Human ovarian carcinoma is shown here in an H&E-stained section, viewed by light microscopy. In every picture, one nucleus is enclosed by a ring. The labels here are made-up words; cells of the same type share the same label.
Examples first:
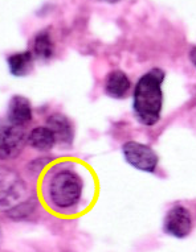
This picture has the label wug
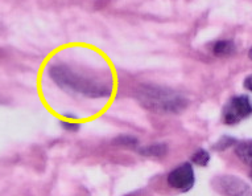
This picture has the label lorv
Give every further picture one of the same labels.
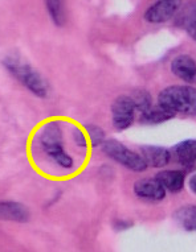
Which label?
lorv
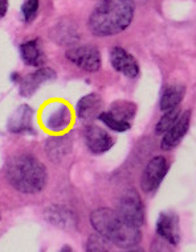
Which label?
wug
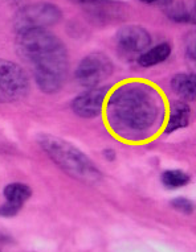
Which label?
wug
